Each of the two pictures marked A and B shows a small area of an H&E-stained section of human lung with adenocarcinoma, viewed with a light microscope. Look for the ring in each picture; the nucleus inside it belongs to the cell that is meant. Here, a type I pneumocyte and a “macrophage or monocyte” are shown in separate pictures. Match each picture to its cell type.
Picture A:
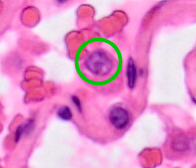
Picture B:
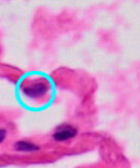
A: macrophage or monocyte
B: type I pneumocyte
